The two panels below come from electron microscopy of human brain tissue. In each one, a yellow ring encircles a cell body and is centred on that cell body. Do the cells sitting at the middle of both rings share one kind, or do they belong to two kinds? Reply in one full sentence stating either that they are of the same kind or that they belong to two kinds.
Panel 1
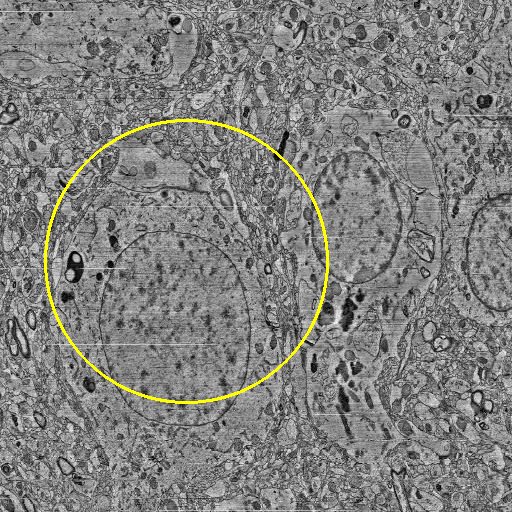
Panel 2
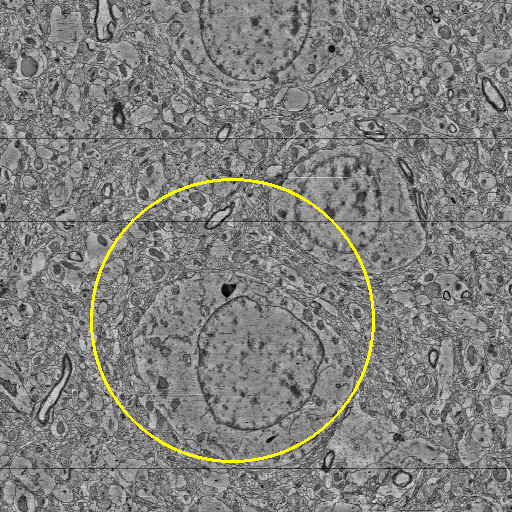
The cells at the centres of the two rings are of the same kind.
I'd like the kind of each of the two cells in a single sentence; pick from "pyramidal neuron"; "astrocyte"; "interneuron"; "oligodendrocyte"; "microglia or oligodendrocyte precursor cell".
Each of the two cells is a pyramidal neuron.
